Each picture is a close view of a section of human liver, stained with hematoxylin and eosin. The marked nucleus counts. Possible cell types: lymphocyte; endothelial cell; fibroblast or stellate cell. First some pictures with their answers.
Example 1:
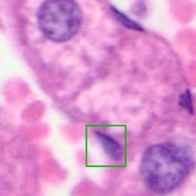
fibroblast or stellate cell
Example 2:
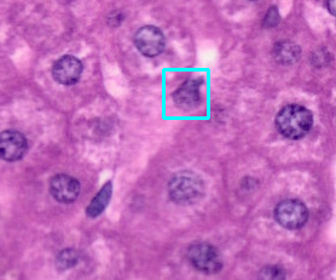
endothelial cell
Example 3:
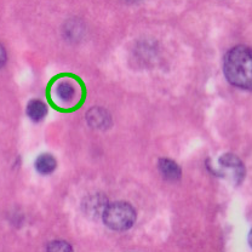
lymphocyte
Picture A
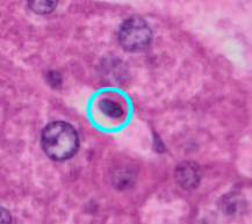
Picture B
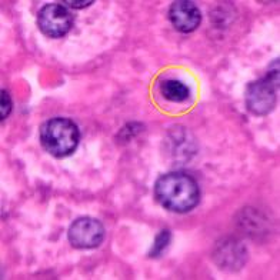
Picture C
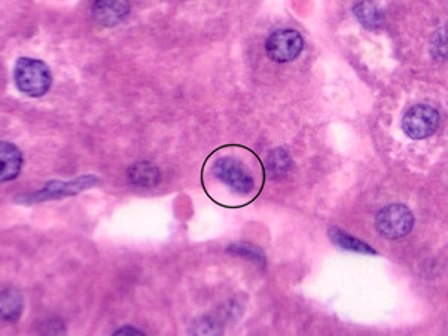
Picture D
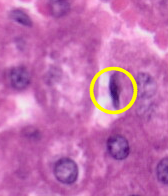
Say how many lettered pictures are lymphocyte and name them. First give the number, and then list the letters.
Count: 2 (A, B)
